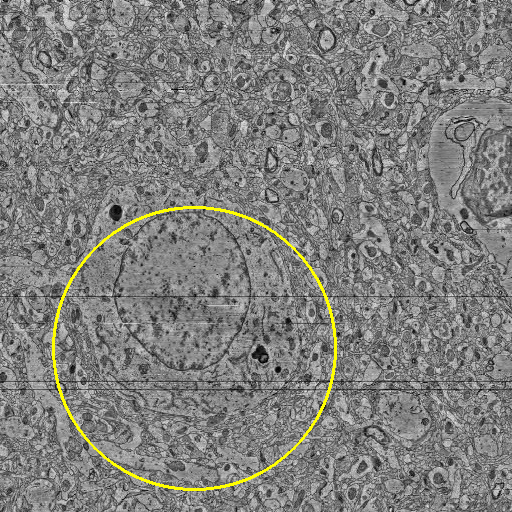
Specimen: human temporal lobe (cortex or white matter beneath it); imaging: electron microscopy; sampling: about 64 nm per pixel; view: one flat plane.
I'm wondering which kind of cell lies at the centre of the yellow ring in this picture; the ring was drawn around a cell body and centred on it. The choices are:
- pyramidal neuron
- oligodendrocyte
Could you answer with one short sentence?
At the centre of the ring lies a pyramidal neuron.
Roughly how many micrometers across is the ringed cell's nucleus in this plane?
In this plane, approximately 10 by 9 micrometers.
